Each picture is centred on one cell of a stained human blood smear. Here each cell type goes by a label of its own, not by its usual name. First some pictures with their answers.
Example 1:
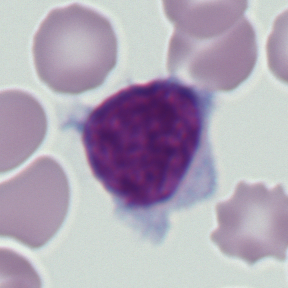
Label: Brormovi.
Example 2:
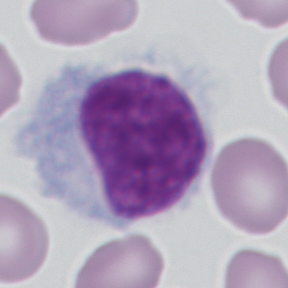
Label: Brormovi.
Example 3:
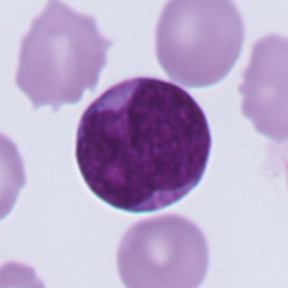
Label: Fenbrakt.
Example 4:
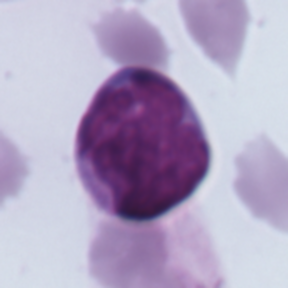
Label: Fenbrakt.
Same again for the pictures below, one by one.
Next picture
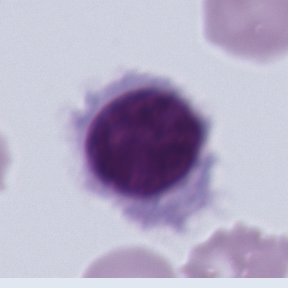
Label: Brormovi.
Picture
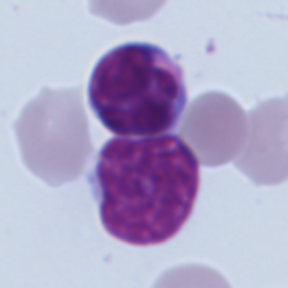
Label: Fenbrakt.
